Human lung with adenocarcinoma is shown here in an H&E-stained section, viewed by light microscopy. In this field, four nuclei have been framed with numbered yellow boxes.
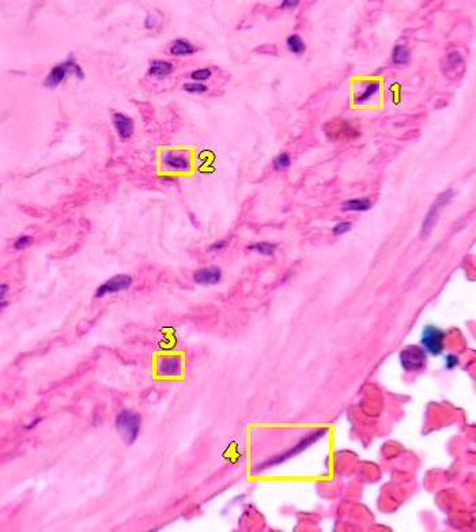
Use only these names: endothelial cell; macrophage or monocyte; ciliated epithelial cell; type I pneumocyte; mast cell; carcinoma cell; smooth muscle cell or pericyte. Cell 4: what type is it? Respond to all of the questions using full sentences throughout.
The cell numbered 4 represents an endothelial cell.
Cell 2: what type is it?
Numbered cell 2 is a smooth muscle cell or pericyte in this tissue section.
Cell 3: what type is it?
Cell 3, as marked in the section, is a smooth muscle cell or pericyte.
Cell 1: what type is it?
Cell 1 of the marked set is a smooth muscle cell or pericyte.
